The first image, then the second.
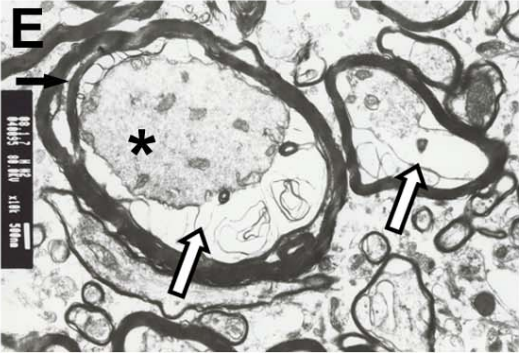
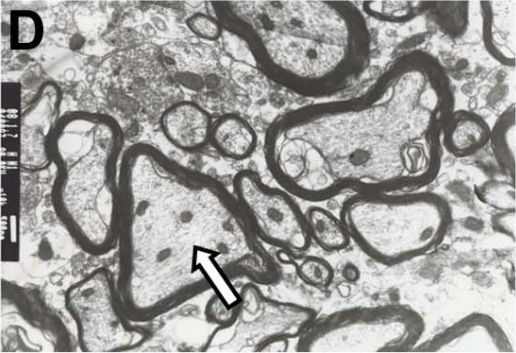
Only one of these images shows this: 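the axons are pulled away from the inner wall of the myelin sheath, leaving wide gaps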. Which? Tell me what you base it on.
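First image: clear spaces with membrane debris lie between the axons and their myelin rings. Second image: the axoplasm fills the myelin rings up to their inner edge. The answer: the first image.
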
